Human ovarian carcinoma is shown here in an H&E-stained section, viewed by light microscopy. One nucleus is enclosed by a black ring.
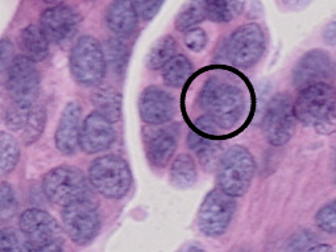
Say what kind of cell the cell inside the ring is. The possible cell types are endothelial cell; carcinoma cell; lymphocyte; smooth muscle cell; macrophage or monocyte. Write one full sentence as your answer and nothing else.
In this tissue section, the cell inside the ring is to be classed as a carcinoma cell.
